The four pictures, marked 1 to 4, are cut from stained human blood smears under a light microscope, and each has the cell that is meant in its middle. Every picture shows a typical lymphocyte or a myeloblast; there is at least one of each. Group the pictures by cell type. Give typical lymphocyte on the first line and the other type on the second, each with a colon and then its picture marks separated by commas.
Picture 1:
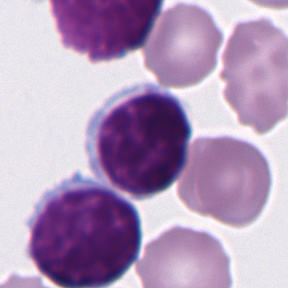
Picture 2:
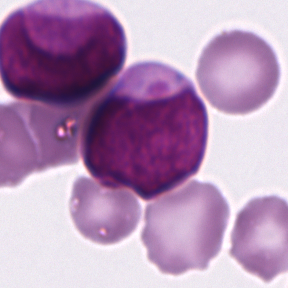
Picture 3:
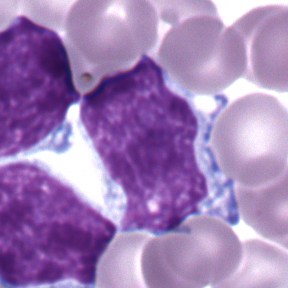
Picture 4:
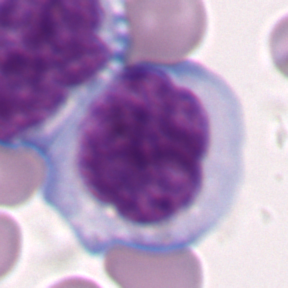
typical lymphocyte: 1, 3
myeloblast: 2, 4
